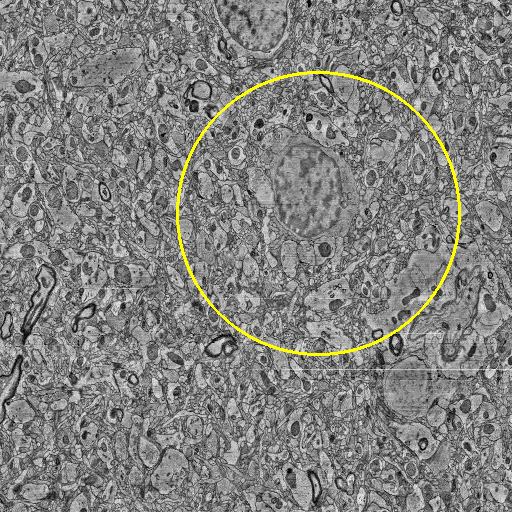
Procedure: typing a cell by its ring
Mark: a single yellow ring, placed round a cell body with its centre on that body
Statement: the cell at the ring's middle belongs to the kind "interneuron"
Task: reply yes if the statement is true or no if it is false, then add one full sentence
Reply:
No, this is false: the cell at the ring's centre in the picture belongs to some other kind.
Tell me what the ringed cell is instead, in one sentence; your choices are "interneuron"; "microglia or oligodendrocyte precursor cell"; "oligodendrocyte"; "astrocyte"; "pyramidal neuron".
The ring's central cell is an oligodendrocyte instead.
